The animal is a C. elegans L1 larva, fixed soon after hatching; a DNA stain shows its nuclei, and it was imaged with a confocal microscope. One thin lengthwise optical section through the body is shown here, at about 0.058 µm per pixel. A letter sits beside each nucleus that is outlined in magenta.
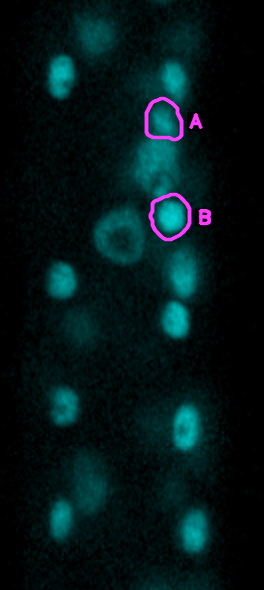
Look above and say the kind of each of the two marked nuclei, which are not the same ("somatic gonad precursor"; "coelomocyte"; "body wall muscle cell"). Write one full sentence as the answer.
Nucleus A comes from a somatic gonad precursor and nucleus B from a coelomocyte.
